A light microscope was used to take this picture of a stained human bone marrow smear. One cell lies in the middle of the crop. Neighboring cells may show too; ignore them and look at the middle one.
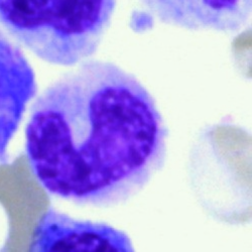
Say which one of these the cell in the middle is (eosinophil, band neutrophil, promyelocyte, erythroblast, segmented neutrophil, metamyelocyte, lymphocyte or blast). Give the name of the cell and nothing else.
band neutrophil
